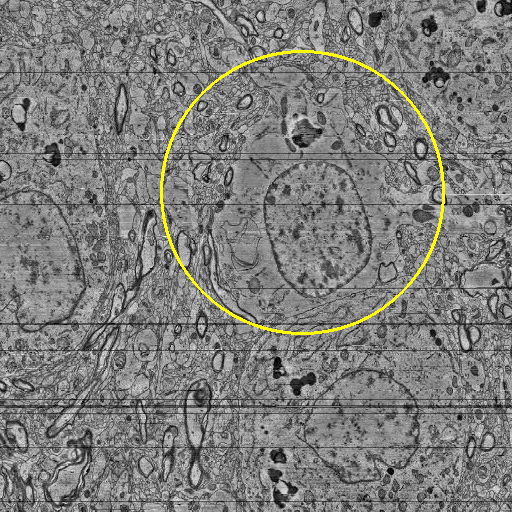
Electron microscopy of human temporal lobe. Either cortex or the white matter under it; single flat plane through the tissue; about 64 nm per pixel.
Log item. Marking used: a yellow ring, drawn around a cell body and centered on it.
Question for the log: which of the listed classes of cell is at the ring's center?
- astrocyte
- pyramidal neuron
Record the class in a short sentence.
At the center of the ring lies an astrocyte.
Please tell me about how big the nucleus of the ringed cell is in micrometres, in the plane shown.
The nucleus of the ringed cell is approximately 9 by 7 micrometres in this plane.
